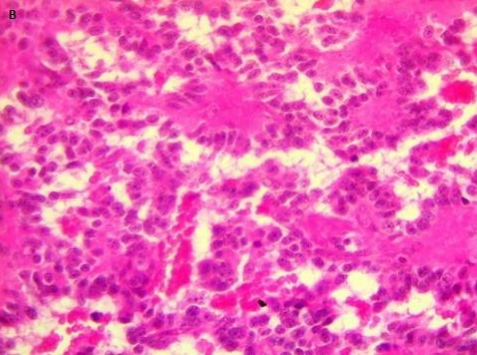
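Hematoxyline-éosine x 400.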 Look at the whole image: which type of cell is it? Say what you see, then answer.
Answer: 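Cells are small and look alike. Nuclei are round to oval. Cytoplasm is pink, and in some cells it looks clear. The answer: cellules monomorphes de petite taille.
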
